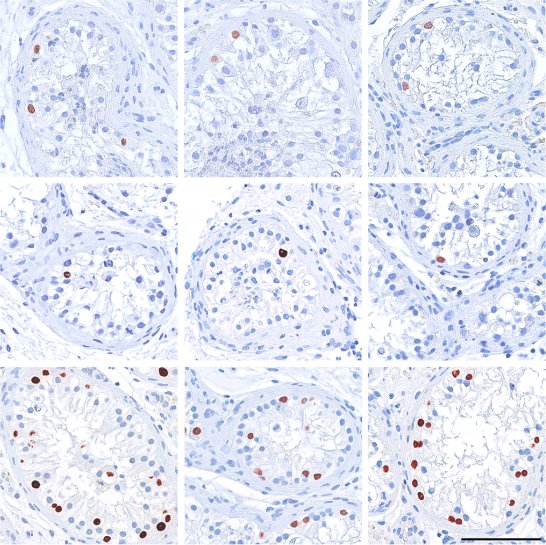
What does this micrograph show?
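Inside the tubules, rounded cells with pale, vacuolated cytoplasm and round blue nuclei lie along and near the wall. The tubule centres are loose and contain a fine meshwork instead of layers of maturing germ cells. Scattered nuclei are stained brown against the blue nuclear counterstain. These are few in the upper rows and more numerous in the lowest row, where brown round nuclei sit mainly close to the tubule wall.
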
